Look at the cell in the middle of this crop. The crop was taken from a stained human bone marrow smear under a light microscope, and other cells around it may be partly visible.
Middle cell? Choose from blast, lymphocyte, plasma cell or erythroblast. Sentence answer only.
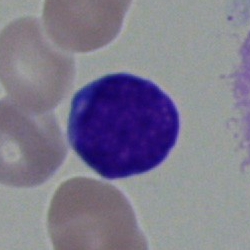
Regarding the central cell, it is a lymphocyte.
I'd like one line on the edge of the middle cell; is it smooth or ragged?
Expected answer: a smooth cell outline without projections of any sort.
